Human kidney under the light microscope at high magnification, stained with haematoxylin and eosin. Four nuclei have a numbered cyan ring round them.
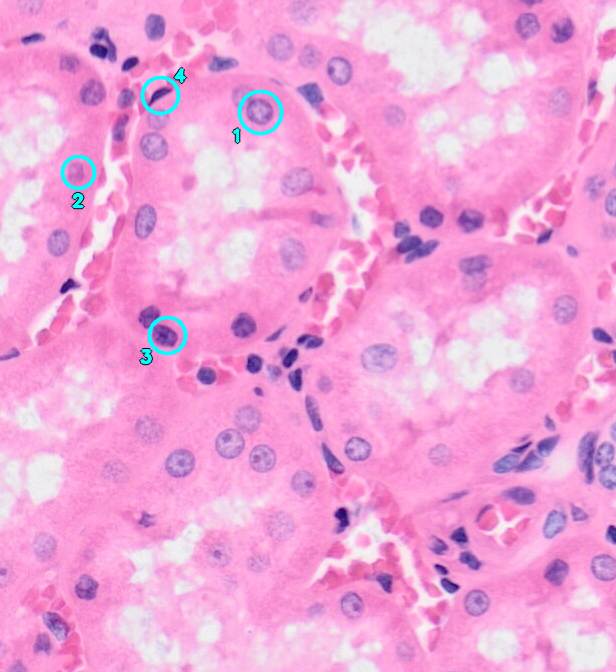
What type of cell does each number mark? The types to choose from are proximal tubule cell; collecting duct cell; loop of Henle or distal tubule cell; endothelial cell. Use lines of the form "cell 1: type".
cell 1: proximal tubule cell
cell 2: proximal tubule cell
cell 3: proximal tubule cell
cell 4: endothelial cell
